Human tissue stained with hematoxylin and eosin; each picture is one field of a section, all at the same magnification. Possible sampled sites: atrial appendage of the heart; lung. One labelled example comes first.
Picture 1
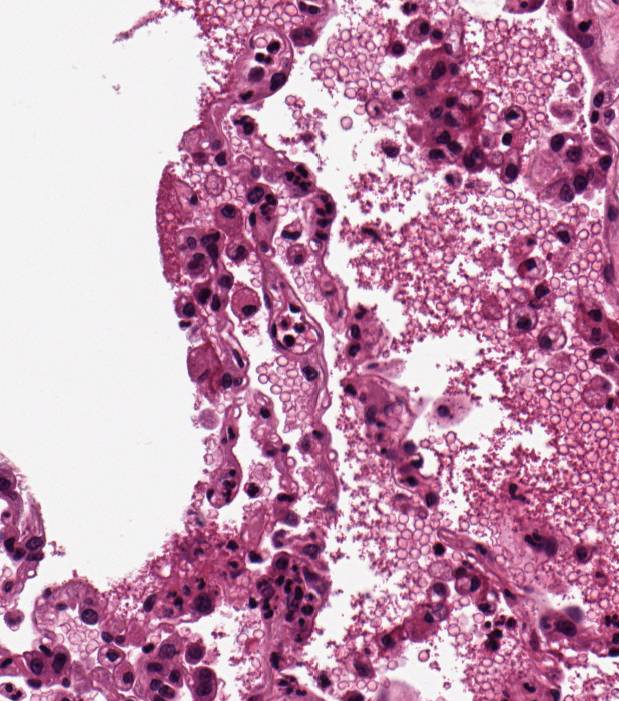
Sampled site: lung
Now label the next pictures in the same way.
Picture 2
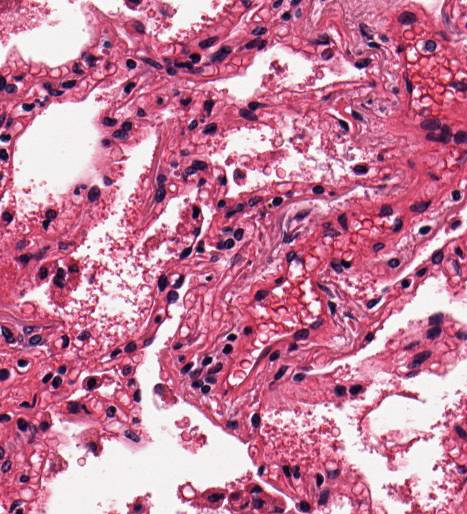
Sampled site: lung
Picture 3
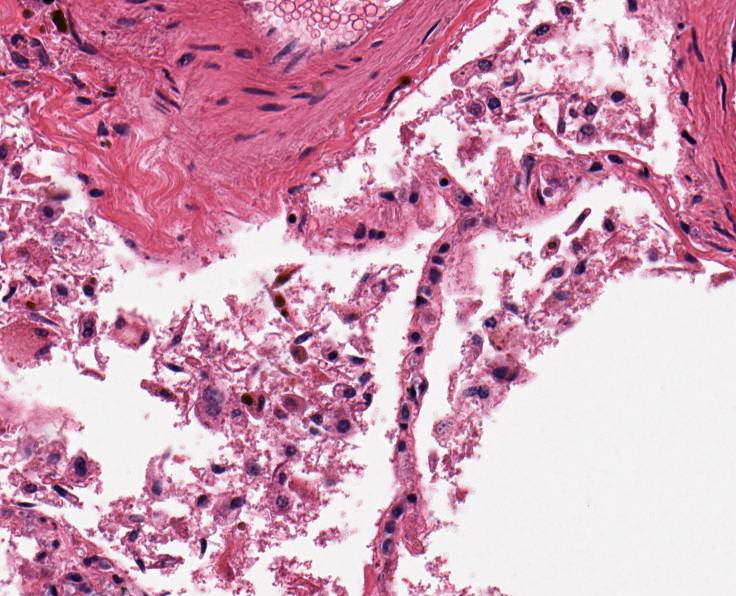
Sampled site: lung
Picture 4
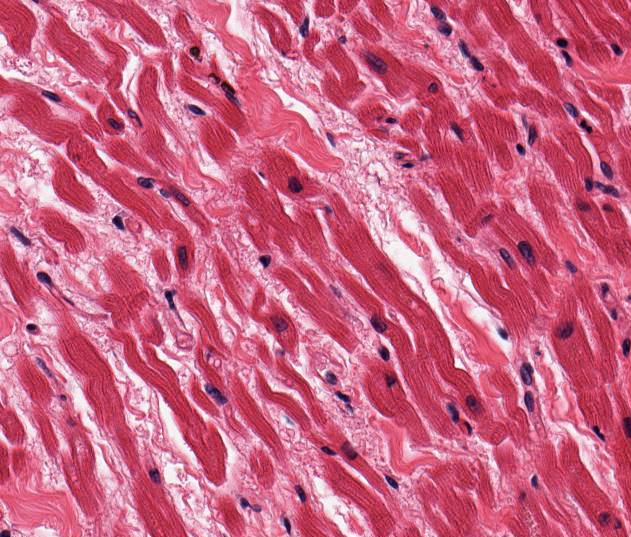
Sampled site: atrial appendage of the heart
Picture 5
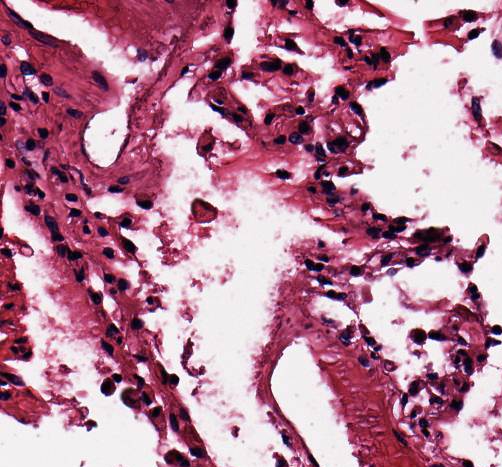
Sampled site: lung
